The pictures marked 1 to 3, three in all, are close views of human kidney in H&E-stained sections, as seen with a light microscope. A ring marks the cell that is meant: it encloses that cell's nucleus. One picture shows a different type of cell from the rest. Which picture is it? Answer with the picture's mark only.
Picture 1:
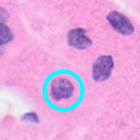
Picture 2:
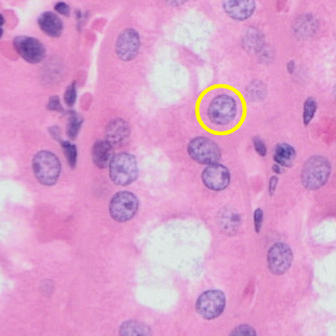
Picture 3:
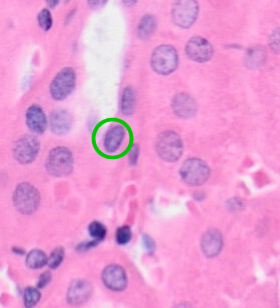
3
